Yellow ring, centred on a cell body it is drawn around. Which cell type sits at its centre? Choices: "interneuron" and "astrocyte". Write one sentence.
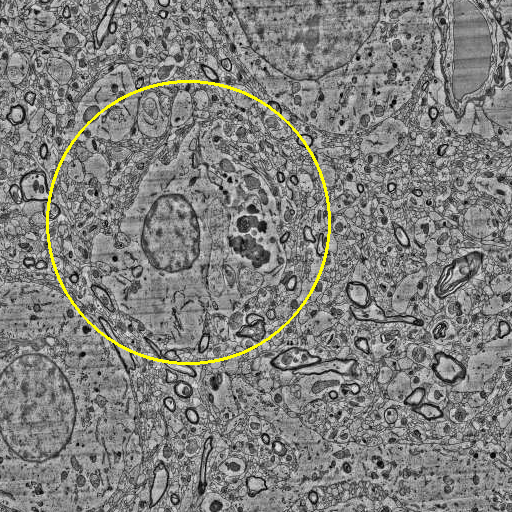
At the centre of the ring sits an astrocyte.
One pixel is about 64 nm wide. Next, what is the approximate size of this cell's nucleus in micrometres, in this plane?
Approximately 5 by 4 micrometers in this plane.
